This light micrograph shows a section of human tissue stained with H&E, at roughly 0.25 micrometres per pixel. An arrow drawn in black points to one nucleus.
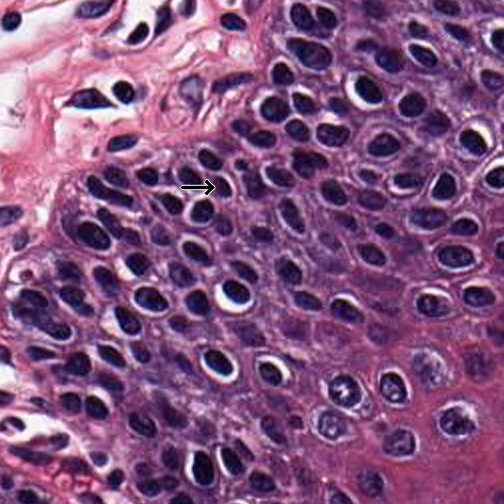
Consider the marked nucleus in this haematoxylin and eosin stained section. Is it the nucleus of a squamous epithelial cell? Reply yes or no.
yes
